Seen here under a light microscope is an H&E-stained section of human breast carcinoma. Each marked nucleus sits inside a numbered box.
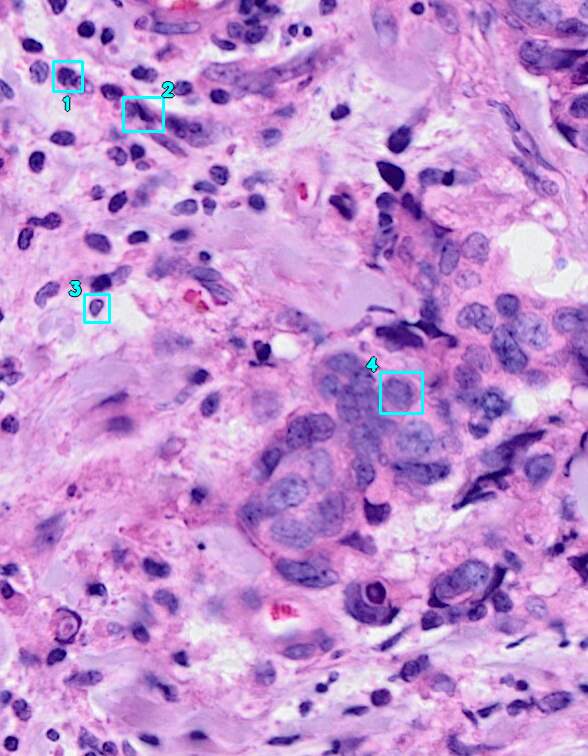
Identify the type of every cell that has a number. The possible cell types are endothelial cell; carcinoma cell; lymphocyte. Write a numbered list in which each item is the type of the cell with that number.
1. lymphocyte
2. lymphocyte
3. lymphocyte
4. carcinoma cell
